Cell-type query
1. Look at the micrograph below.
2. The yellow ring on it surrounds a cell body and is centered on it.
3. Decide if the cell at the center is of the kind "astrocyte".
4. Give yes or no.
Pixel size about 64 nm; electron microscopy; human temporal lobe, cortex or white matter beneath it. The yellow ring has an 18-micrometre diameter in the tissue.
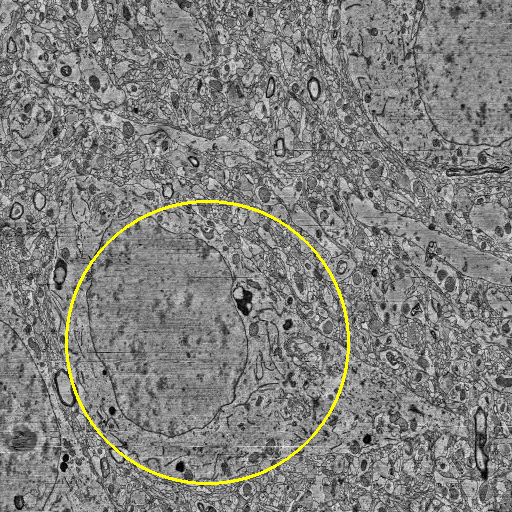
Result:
no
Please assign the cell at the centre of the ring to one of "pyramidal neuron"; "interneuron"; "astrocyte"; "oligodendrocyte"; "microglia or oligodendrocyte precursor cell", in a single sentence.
Instead, the cell at the centre of the yellow ring is a pyramidal neuron.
